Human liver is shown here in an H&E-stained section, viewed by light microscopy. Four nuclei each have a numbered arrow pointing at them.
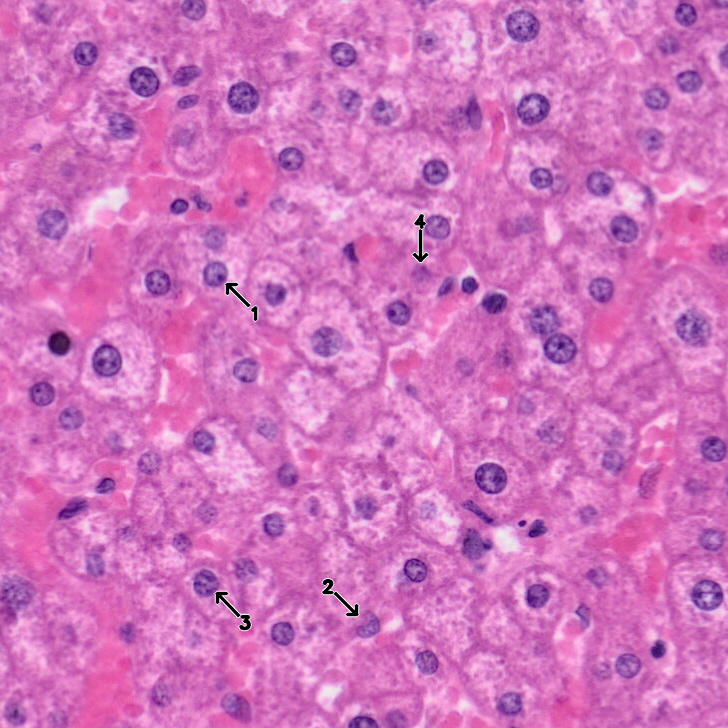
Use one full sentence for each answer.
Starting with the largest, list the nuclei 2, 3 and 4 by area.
Largest first, the order by area is 3, 2, 4.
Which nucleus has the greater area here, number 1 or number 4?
It is nucleus 1, which covers about 2 times the area of nucleus 4.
